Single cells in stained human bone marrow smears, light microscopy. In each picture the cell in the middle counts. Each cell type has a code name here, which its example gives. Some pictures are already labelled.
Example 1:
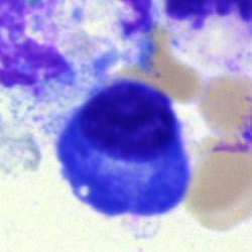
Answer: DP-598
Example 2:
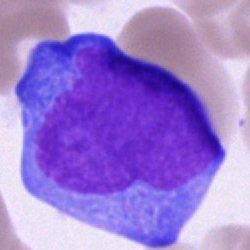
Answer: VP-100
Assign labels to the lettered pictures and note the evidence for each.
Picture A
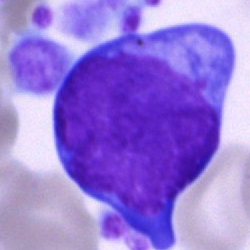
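Label: VP-100. The chromatin looks fine and evenly spread rather than clumped.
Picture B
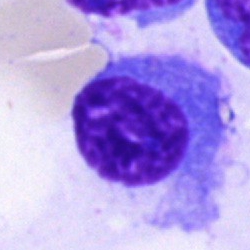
Label: DP-598. The chromatin is dark purple and coarsely clumped.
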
